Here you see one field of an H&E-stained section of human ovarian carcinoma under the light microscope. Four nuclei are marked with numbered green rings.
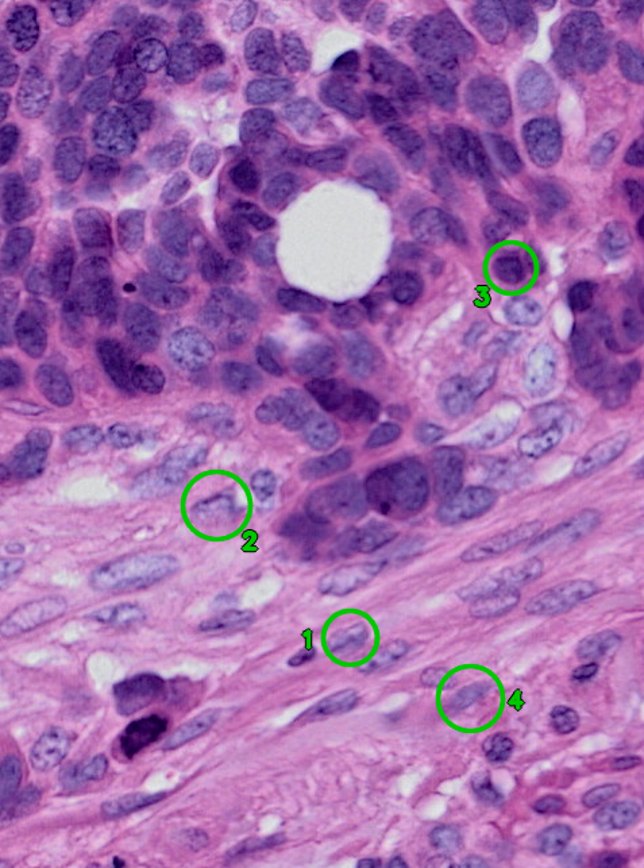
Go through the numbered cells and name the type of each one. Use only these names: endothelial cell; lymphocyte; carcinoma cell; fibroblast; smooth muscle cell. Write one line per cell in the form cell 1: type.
cell 1: fibroblast
cell 2: fibroblast
cell 3: carcinoma cell
cell 4: fibroblast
